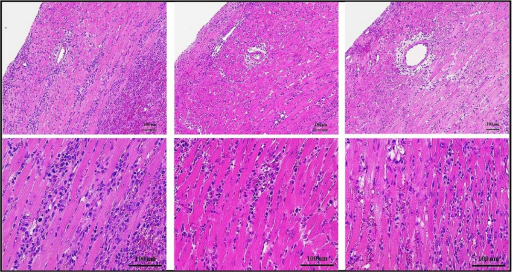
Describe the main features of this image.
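The cardiac muscle fibers form long pink bands that run in parallel. Many small cells with dark purple nuclei lie between the fibers and fill the interstitium. At low magnification small blood vessels are visible, surrounded by cuffs of these small cells. Where the infiltrate is dense, the muscle fibers are pushed apart.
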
